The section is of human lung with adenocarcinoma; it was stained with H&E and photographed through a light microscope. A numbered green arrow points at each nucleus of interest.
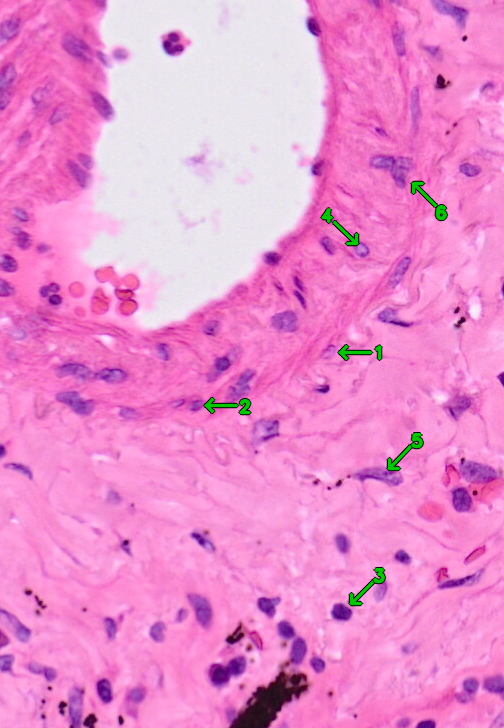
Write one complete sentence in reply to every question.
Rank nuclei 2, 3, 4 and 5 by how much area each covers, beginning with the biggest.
Going from the biggest nucleus down to the smallest gives 5, 3, 4, 2.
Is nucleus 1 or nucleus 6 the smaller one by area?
With nucleus 6 about 3 times its size, nucleus 1 is the smaller of the two.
